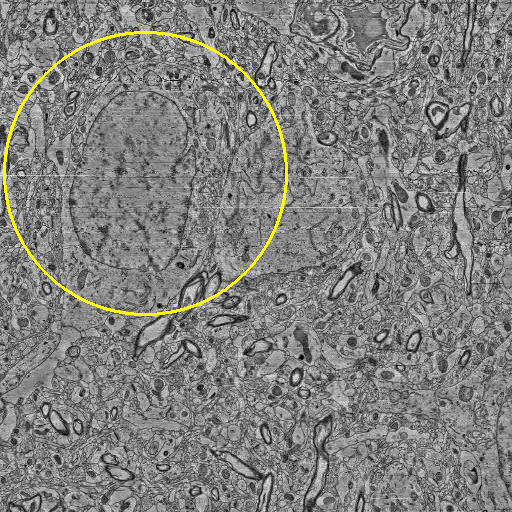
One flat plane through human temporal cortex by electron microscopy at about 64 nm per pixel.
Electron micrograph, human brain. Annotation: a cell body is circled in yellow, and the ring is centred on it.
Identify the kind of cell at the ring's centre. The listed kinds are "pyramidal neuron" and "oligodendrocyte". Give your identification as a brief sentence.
The circled cell body is that of a pyramidal neuron.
